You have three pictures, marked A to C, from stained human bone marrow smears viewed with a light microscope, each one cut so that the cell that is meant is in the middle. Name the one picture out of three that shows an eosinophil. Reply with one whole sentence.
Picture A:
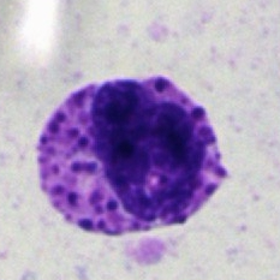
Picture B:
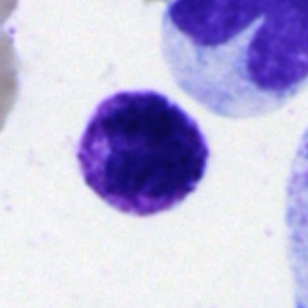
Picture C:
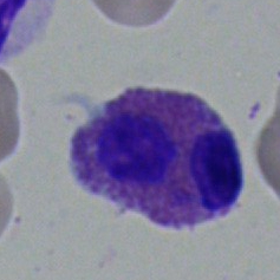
The eosinophil is the one in picture C.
